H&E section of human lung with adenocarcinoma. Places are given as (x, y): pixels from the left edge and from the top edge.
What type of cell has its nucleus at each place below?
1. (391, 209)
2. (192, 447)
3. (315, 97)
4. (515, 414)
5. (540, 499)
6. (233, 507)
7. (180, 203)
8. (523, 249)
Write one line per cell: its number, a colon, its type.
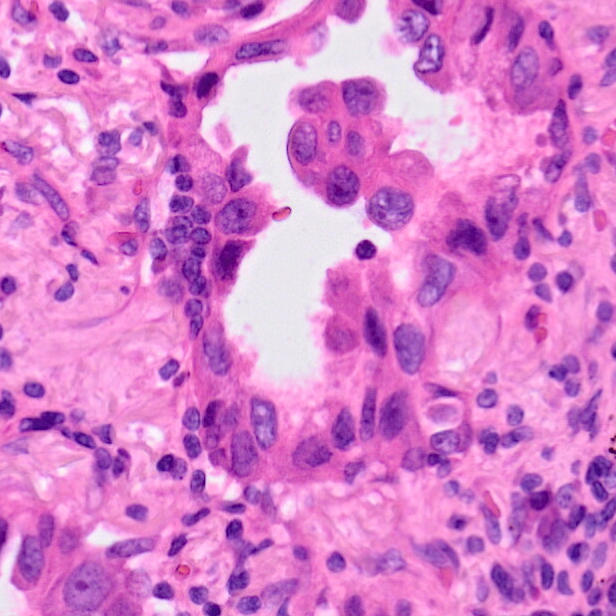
1: carcinoma cell
2: lymphocyte
3: carcinoma cell
4: lymphocyte
5: plasma cell
6: lymphocyte
7: lymphocyte
8: lymphocyte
